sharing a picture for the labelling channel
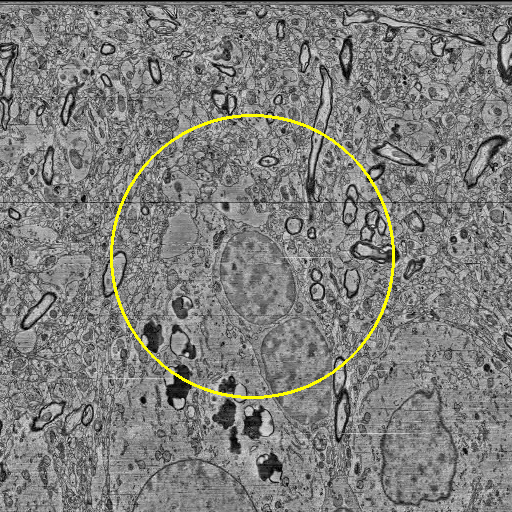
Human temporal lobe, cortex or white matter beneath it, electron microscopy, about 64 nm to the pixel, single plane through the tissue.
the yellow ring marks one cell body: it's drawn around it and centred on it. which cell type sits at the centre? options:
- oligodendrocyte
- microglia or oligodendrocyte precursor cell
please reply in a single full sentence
In the picture, the cell at the ring's centre is an oligodendrocyte, going by the list.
